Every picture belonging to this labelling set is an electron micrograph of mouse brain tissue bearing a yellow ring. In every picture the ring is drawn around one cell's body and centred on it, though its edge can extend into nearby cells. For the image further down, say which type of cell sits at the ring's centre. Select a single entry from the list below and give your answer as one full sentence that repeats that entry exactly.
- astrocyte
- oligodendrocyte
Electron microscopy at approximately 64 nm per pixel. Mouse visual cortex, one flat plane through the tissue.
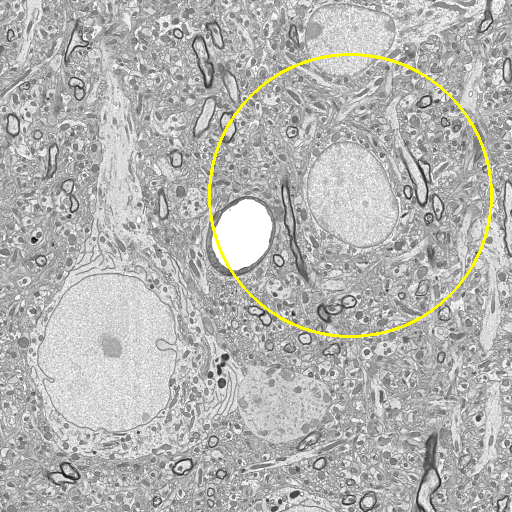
In the picture, an astrocyte is the cell at the centre of the yellow ring.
